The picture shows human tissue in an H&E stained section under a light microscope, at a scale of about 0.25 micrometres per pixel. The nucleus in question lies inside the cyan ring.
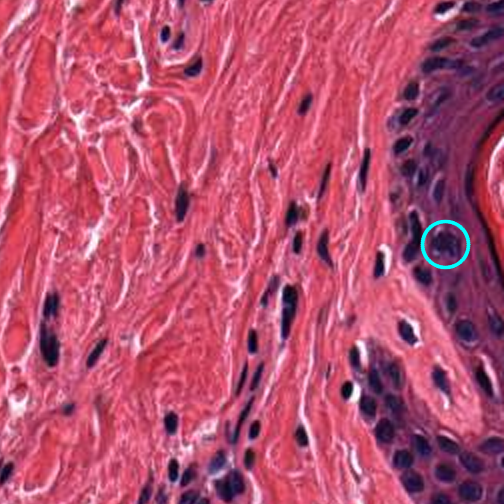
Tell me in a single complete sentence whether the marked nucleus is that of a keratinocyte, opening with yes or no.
Yes, belonging to a keratinocyte is the marked nucleus.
